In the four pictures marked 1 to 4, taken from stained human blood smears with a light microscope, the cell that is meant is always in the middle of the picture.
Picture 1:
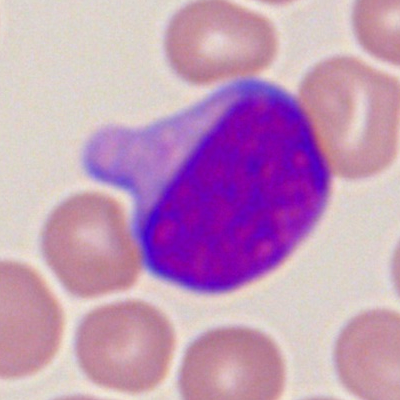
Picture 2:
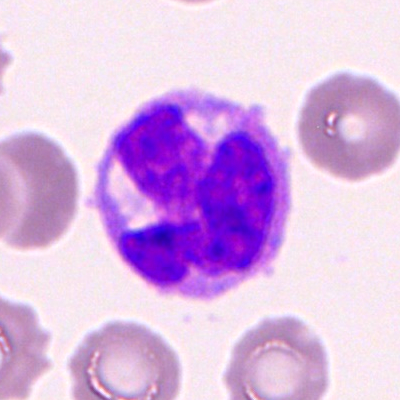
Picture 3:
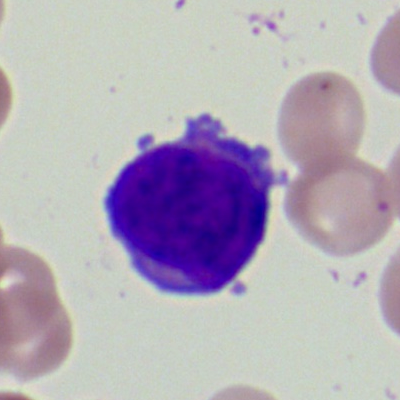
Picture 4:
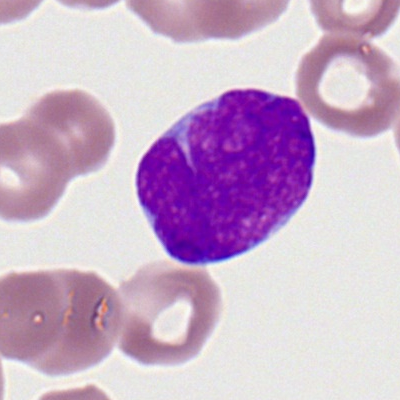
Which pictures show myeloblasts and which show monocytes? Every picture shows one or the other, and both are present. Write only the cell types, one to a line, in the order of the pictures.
myeloblast
monocyte
myeloblast
myeloblast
